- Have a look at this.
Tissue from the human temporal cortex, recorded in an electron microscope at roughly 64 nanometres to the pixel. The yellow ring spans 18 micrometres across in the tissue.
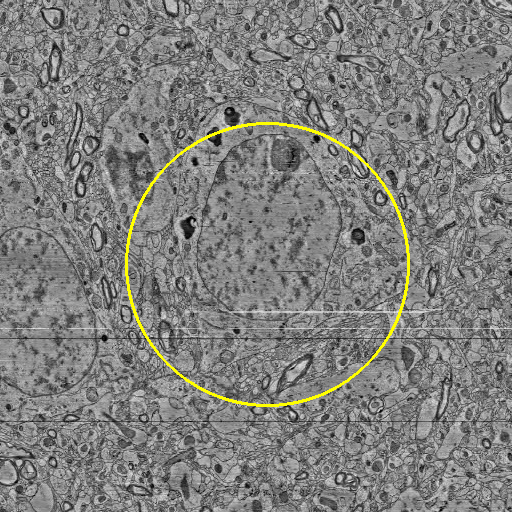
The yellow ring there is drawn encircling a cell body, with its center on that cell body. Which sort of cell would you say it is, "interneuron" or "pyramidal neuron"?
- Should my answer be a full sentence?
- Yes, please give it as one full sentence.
For this picture, a pyramidal neuron is the cell where the yellow ring has its center.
